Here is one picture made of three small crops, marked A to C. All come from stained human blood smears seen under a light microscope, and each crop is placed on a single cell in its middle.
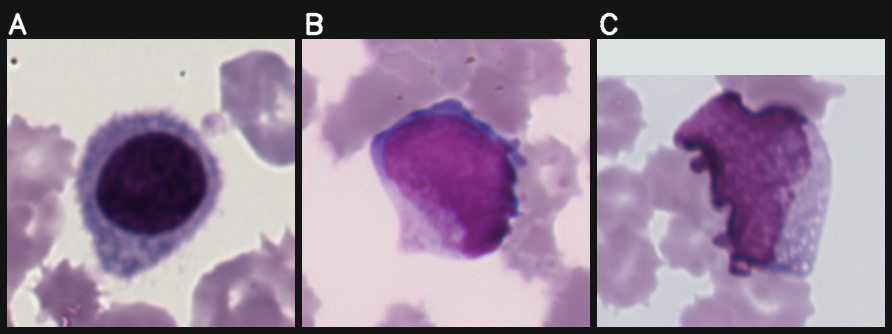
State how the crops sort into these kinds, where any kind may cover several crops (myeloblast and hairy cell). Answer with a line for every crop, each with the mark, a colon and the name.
A: hairy cell
B: myeloblast
C: myeloblast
